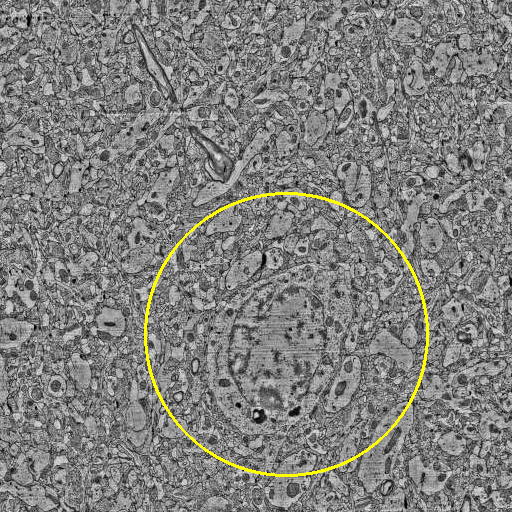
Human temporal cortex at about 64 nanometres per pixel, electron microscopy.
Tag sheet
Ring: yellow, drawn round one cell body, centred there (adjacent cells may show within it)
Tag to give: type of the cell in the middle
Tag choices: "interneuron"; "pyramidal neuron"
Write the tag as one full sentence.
I tag the cell centred in the yellow ring as an interneuron in this picture.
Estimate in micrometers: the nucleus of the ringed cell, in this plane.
Approximately 9 by 6 micrometers in this plane.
